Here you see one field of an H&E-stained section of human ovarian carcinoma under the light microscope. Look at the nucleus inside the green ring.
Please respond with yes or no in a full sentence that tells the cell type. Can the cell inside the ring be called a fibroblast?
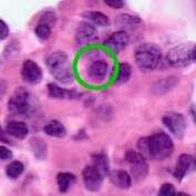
No, the cell inside the ring counts as a carcinoma cell, not a fibroblast.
